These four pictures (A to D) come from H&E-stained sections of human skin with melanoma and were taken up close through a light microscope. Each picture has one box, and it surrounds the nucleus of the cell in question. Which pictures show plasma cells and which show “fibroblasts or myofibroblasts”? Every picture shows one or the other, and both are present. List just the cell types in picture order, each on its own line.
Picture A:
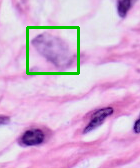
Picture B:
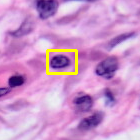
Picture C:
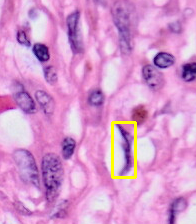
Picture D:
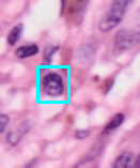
fibroblast or myofibroblast
plasma cell
fibroblast or myofibroblast
plasma cell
